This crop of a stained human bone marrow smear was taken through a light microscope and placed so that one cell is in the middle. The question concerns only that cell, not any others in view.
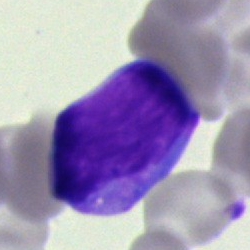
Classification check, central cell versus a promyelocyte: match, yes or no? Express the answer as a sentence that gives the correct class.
No, not a promyelocyte but a blast is the cell in the centre.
